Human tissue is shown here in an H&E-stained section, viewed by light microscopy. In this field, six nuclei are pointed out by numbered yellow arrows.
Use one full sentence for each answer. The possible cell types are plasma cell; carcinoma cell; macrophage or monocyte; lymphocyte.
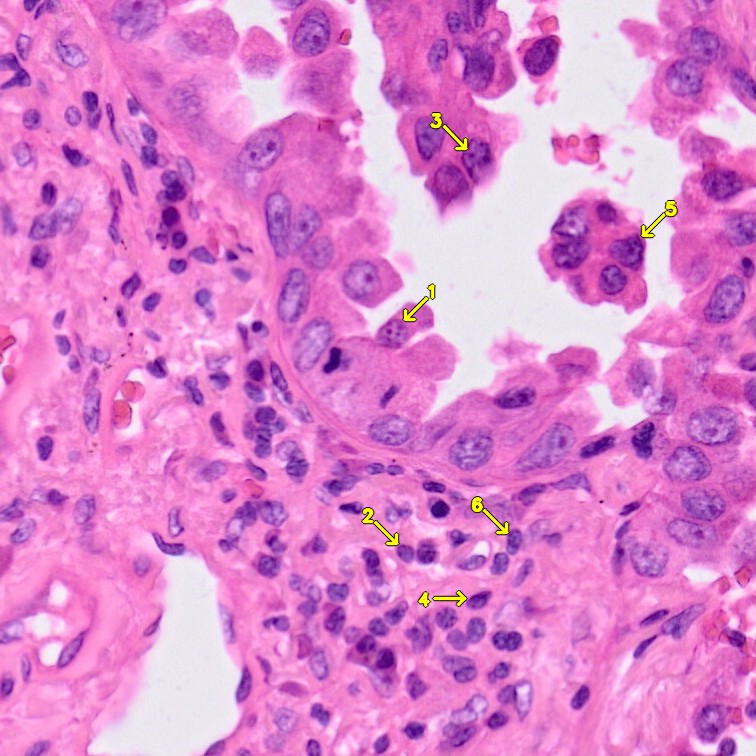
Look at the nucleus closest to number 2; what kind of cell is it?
The cell nearest to number 2 is a plasma cell.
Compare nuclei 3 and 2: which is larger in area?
Number 3 is larger; its area is about 3 times that of number 2.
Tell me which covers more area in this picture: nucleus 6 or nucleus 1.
Of the two, number 1 is bigger and takes up about 2 times the area of number 6.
